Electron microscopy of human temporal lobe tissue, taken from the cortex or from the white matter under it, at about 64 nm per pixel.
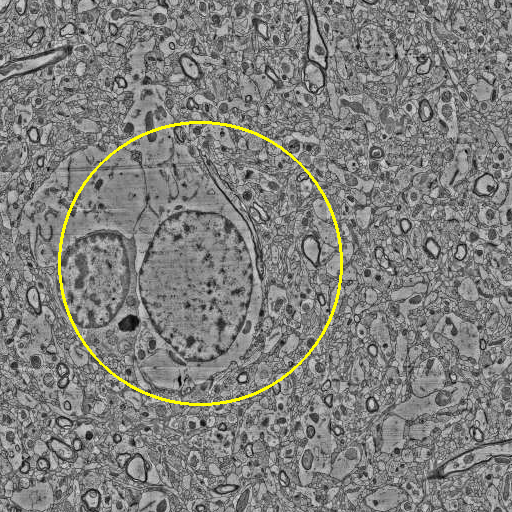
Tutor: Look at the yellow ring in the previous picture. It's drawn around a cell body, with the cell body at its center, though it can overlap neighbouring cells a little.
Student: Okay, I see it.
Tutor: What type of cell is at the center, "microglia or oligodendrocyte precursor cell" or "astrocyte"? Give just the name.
astrocyte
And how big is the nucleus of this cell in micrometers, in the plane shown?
In this plane the nucleus is about 10 micrometres by 7.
